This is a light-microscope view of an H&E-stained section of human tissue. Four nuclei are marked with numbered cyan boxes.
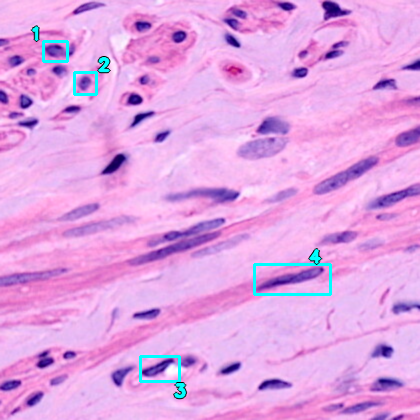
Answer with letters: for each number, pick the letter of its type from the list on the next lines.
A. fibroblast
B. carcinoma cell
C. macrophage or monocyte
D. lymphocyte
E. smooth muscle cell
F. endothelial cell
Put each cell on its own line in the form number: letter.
1: E
2: E
3: F
4: E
